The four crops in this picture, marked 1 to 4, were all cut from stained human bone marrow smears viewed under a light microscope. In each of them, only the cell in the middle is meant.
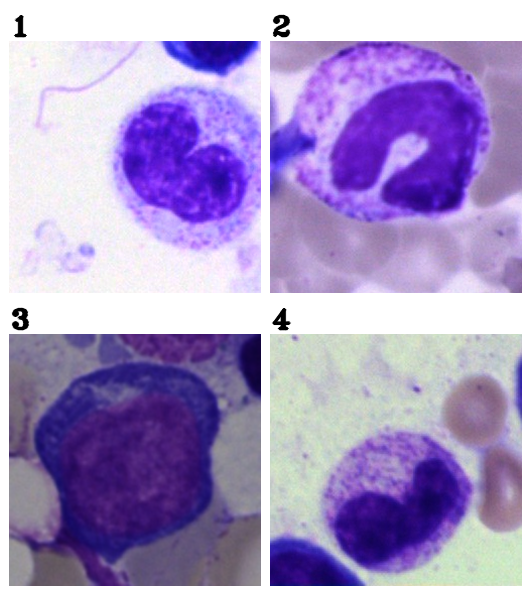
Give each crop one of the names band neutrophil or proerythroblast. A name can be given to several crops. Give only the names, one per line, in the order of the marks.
band neutrophil
band neutrophil
proerythroblast
band neutrophil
